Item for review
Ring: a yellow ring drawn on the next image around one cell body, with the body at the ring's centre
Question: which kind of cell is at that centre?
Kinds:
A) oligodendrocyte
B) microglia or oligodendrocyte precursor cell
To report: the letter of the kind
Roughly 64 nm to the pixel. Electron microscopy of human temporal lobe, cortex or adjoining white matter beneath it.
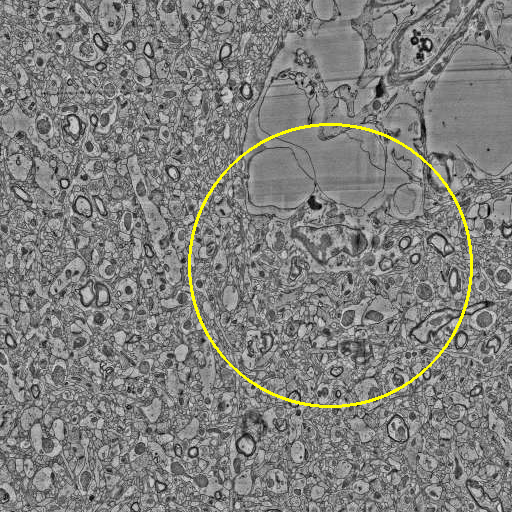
B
